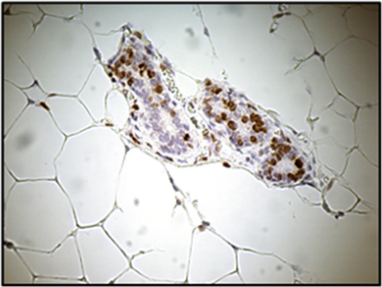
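Mammary tissue with two elongated, densely cellular epithelial clusters set in fat. Many of the round nuclei in the clusters are stained brown, interspersed with blue-counterstained nuclei. The surrounding adipocytes are large, empty and thin-walled, with only occasional nuclei at their borders.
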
